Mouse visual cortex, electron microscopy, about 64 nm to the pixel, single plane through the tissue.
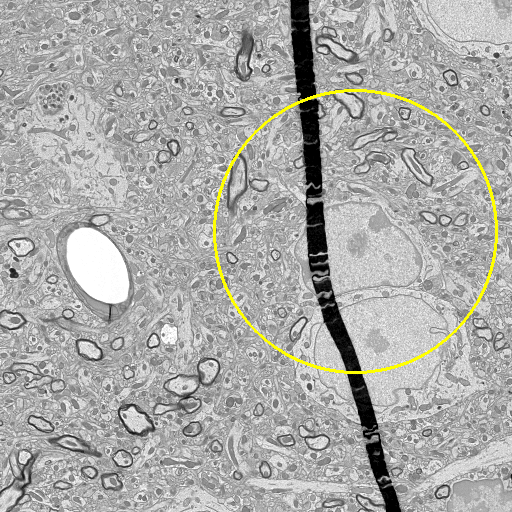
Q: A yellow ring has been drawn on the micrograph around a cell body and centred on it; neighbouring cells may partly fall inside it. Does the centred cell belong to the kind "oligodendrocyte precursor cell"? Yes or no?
Yes, it belongs to that kind.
